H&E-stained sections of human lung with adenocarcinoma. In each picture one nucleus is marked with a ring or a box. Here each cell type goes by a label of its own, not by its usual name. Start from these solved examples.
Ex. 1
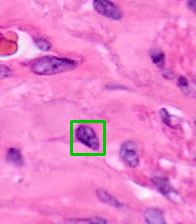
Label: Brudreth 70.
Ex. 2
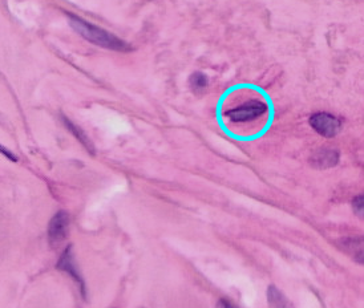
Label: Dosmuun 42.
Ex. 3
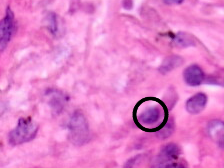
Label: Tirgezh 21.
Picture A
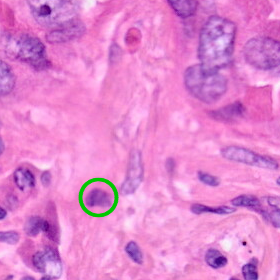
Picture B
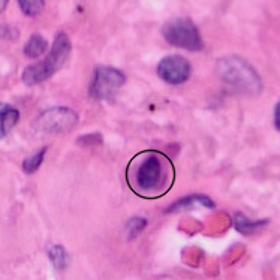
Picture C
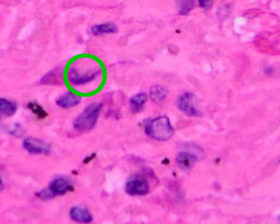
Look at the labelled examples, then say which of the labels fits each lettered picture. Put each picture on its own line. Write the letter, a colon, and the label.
A: Brudreth 70.
B: Tirgezh 21.
C: Tirgezh 21.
